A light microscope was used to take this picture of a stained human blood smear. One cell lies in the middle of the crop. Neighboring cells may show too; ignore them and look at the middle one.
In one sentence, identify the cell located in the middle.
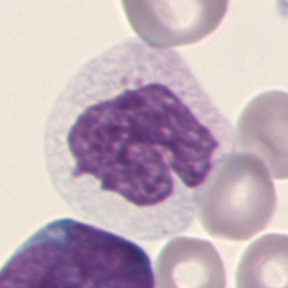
The cell marked by its central position in the crop is a band neutrophil.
